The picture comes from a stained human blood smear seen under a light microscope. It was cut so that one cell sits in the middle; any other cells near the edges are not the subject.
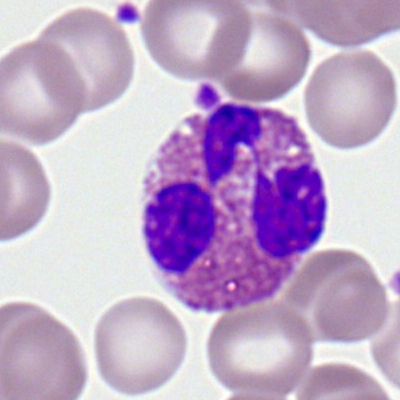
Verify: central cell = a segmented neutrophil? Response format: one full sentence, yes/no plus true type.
No, the central cell qualifies as an eosinophil rather than as a segmented neutrophil.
